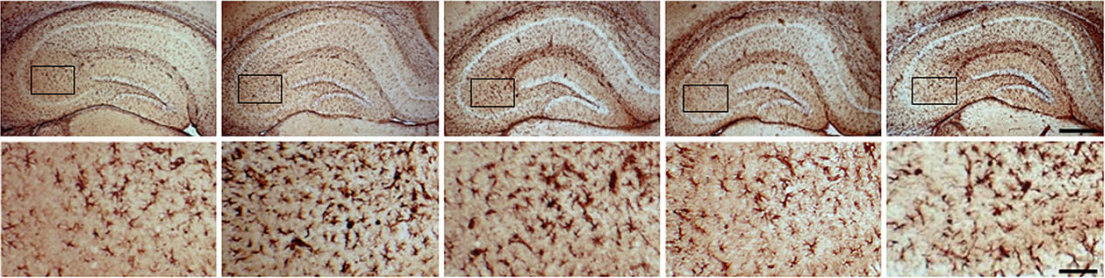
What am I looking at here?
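The low-power views show the hippocampus, with its curved pyramidal cell band and the V-shaped dentate gyrus. Darker brown staining runs along the layers and borders of these bands. In the magnified views, the dark brown astrocytes appear star-shaped, each with several radiating processes.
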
